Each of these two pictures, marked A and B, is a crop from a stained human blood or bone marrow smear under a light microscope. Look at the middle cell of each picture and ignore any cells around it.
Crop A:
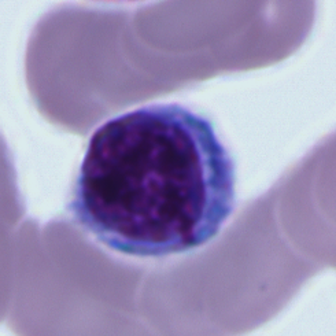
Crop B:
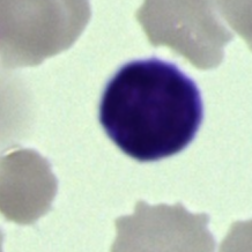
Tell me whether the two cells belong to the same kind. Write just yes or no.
no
